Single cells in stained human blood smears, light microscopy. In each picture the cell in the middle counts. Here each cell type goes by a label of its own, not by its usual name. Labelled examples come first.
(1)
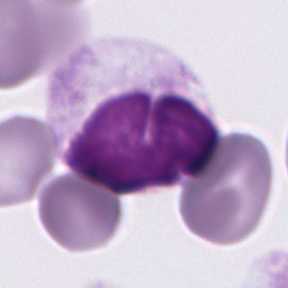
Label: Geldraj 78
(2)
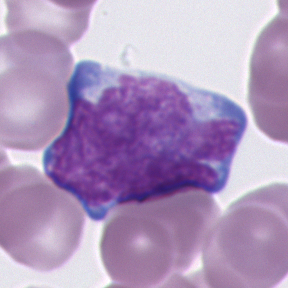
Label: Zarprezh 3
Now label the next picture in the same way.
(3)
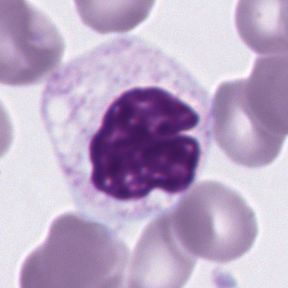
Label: Geldraj 78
